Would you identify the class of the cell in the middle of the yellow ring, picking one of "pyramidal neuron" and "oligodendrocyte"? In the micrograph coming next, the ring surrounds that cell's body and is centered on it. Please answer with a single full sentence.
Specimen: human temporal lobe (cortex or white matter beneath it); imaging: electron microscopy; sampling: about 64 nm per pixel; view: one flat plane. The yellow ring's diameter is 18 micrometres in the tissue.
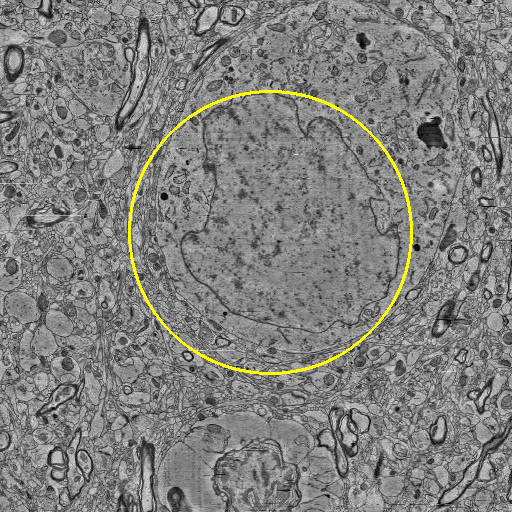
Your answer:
In the micrograph, it is a pyramidal neuron whose body lies at the ring's center.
